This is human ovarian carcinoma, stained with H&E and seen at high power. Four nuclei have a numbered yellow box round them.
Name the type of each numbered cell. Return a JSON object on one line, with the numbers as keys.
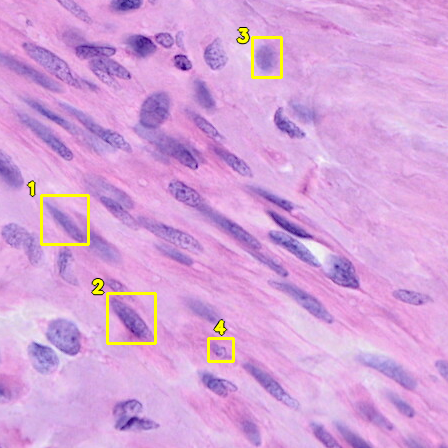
{"1": "smooth muscle cell", "2": "smooth muscle cell", "3": "fibroblast", "4": "smooth muscle cell"}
